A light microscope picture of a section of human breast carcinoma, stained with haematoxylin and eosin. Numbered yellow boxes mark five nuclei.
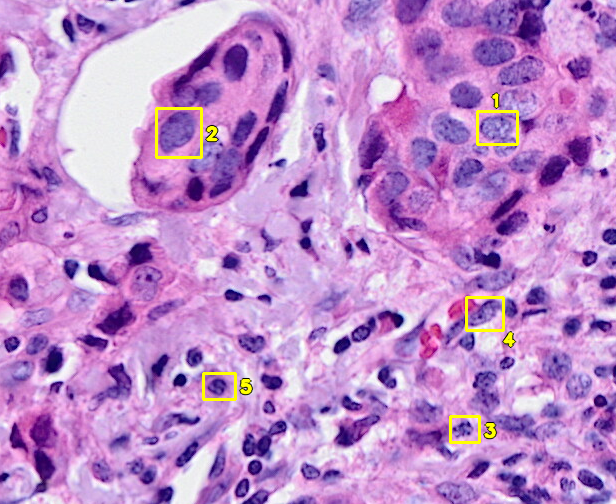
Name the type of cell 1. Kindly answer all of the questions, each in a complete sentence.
Cell 1, among those numbered, is a carcinoma cell.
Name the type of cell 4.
Denoted by the label 4 in the section is an endothelial cell.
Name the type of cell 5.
The cell bearing label 5 corresponds to a mast cell.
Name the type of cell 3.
Looking at the numbered marks, cell 3 is a lymphocyte.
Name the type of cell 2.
Belonging to a carcinoma cell is the nucleus that carries the number 2.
